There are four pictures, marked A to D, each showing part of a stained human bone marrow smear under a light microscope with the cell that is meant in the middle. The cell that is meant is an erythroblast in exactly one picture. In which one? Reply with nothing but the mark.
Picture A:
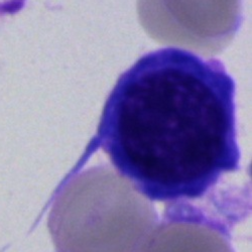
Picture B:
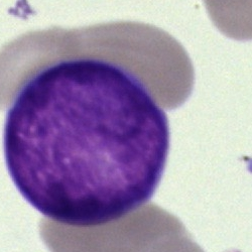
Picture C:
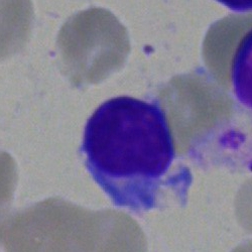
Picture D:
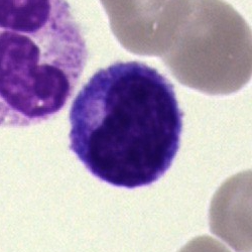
A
